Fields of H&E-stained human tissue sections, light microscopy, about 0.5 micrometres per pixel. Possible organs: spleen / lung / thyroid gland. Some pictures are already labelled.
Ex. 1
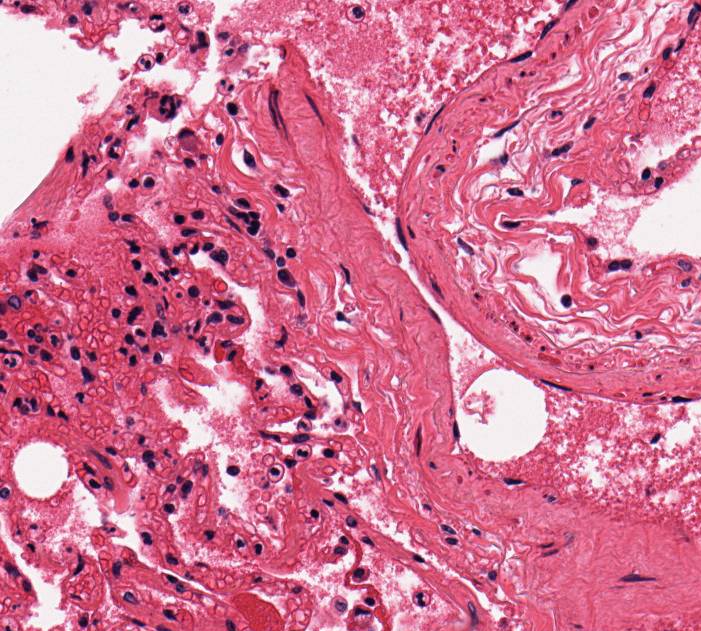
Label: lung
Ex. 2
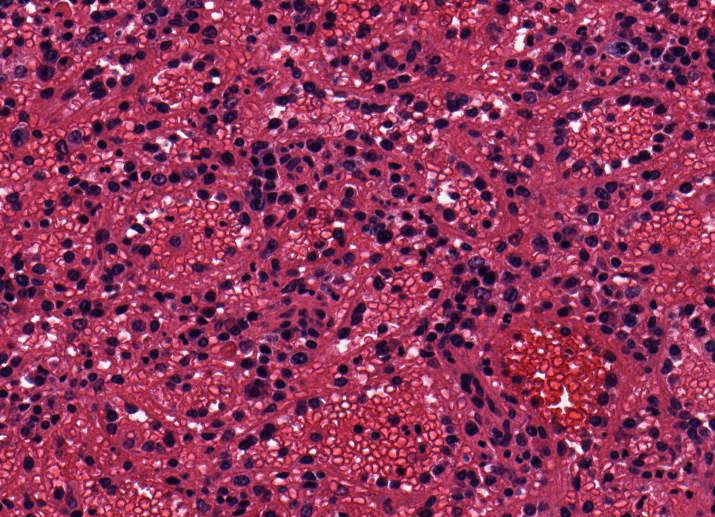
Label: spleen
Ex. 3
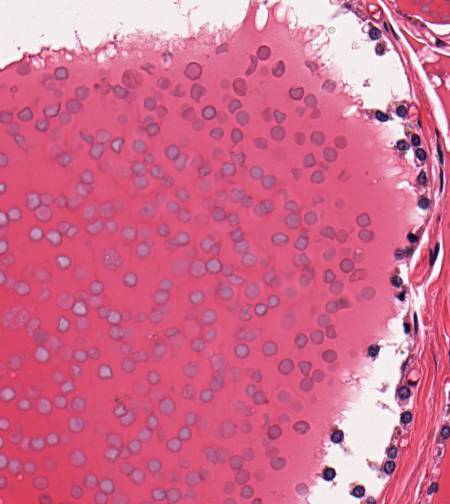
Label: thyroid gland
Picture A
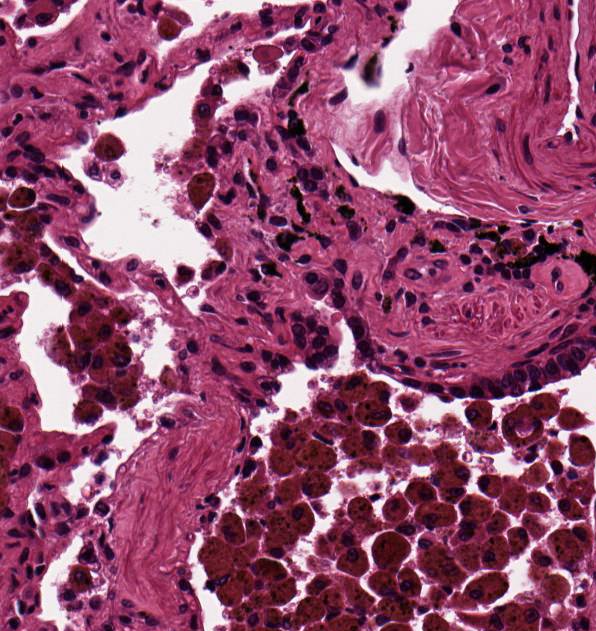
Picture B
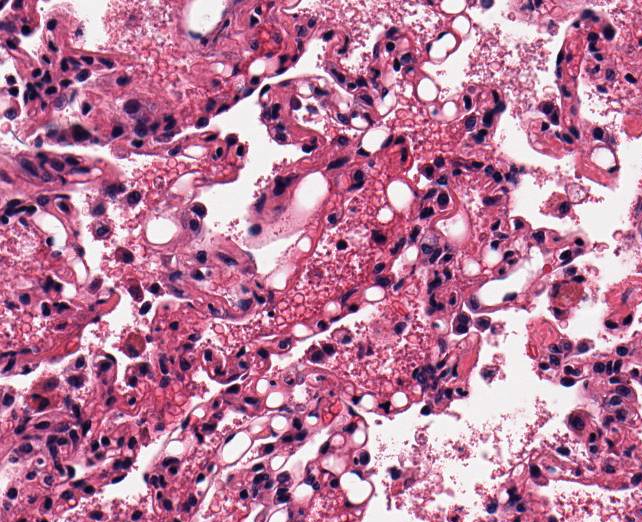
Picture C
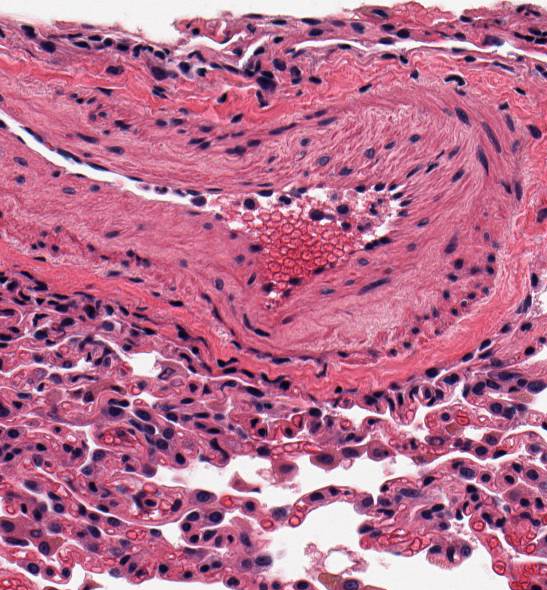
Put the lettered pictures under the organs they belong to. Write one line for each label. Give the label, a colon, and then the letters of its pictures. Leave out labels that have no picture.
lung: A, B, C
